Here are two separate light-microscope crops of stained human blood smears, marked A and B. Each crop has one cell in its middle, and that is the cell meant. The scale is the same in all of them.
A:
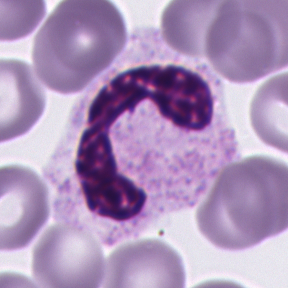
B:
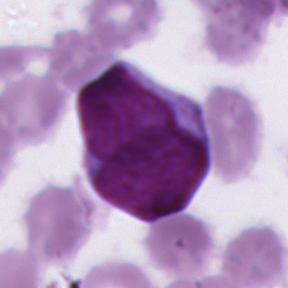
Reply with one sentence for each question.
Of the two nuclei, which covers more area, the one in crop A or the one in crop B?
Larger is the nucleus in crop B, at roughly 1.5 times the area of the other.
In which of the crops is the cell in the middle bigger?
It is the cell in crop A, about 1.5 times as large in area as the cell in crop B.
